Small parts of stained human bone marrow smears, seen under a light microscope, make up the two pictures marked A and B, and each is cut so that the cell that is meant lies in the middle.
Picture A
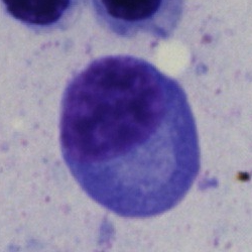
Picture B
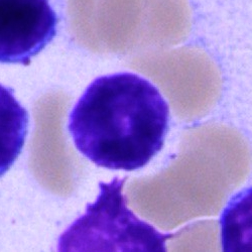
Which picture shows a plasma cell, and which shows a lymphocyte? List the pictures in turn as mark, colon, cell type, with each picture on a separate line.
A: plasma cell
B: lymphocyte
